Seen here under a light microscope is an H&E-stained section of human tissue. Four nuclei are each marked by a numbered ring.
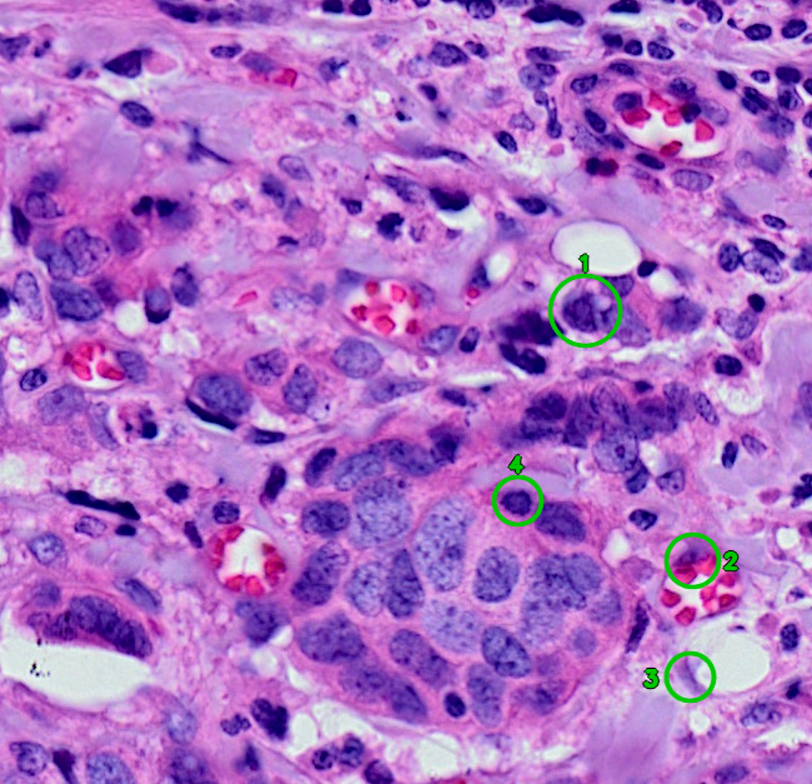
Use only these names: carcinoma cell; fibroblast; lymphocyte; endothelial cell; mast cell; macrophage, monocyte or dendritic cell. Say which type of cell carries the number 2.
endothelial cell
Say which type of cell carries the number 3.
fibroblast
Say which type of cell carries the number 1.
carcinoma cell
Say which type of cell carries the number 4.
carcinoma cell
